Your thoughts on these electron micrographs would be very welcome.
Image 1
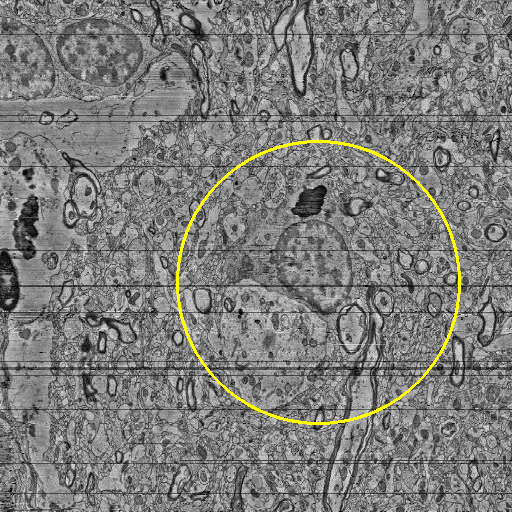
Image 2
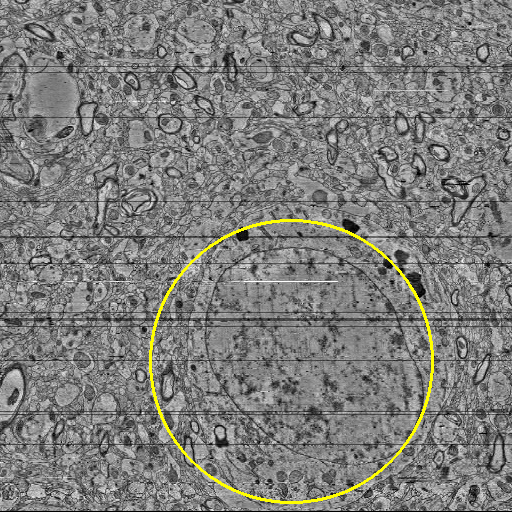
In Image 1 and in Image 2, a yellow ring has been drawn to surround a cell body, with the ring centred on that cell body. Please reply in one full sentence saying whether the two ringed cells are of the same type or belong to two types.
The ringed cells in Image 1 and Image 2 belong to two types.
